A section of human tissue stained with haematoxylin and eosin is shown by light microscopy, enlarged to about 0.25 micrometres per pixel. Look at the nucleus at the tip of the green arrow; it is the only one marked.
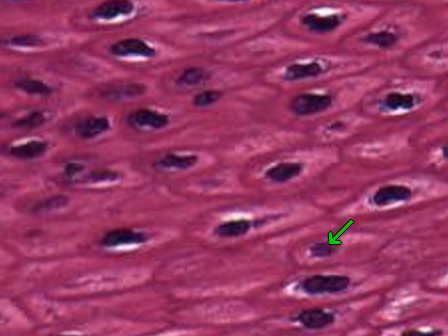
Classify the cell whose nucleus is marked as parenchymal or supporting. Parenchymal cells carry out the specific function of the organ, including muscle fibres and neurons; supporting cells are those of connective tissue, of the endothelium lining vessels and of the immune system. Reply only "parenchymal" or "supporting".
parenchymal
